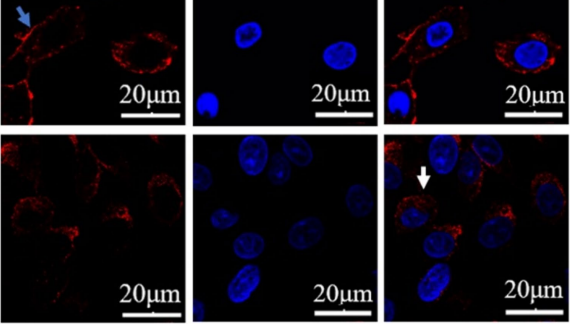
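These are cultured cells, seen one by one, each with a large round or oval blue nucleus. The red label is shown alone in the left column, nuclei alone in the middle, and both together on the right. In the upper row the red forms a fine line around the edge of each cell, tracing its membrane and leaving a clear gap around the nucleus. In the lower row the outline is faint and less continuous, and the red appears instead as small dots and granules scattered through the cell body between the nucleus and the border, that is, within the cytoplasm.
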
